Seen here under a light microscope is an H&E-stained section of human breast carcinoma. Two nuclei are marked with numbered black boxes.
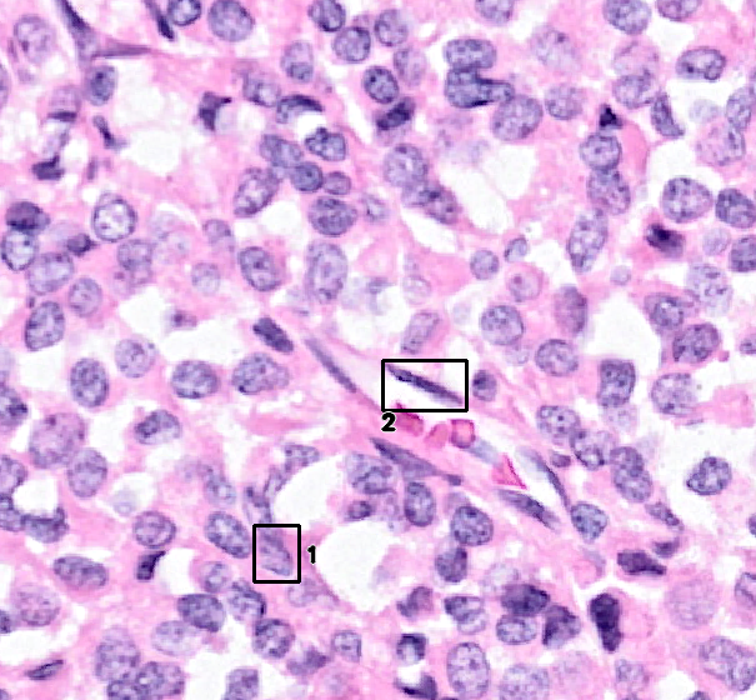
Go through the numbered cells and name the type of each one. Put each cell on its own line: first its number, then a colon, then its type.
1: carcinoma cell
2: endothelial cell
